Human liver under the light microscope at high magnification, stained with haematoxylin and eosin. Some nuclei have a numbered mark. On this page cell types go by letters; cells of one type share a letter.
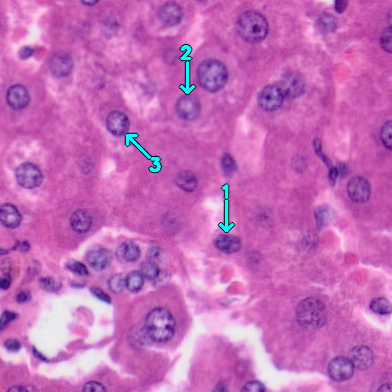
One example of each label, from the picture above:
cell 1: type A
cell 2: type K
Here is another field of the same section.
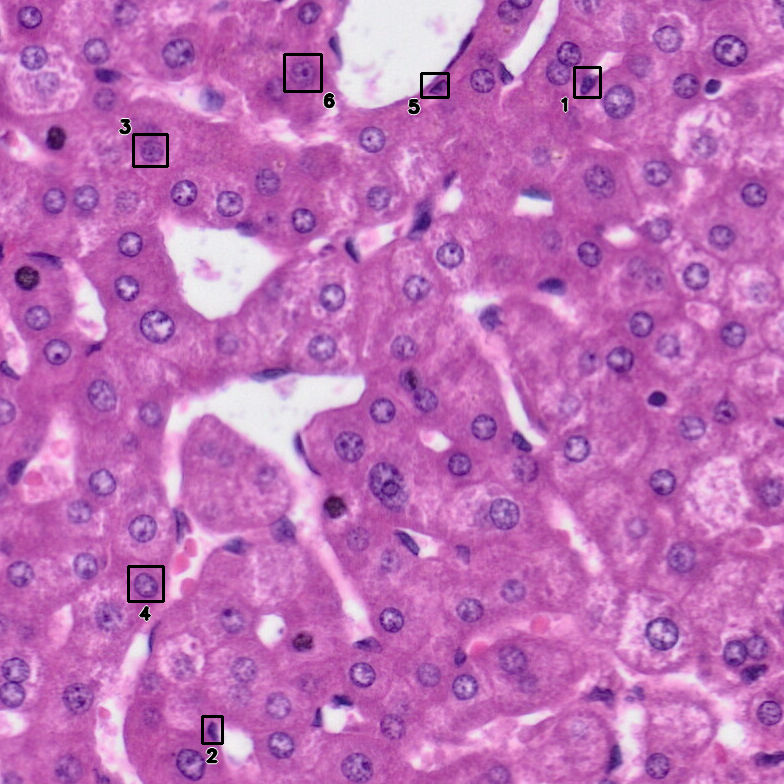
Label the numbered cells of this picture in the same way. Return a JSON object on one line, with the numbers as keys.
{"1": "type A", "2": "type A", "3": "type K", "4": "type K", "5": "type A", "6": "type K"}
